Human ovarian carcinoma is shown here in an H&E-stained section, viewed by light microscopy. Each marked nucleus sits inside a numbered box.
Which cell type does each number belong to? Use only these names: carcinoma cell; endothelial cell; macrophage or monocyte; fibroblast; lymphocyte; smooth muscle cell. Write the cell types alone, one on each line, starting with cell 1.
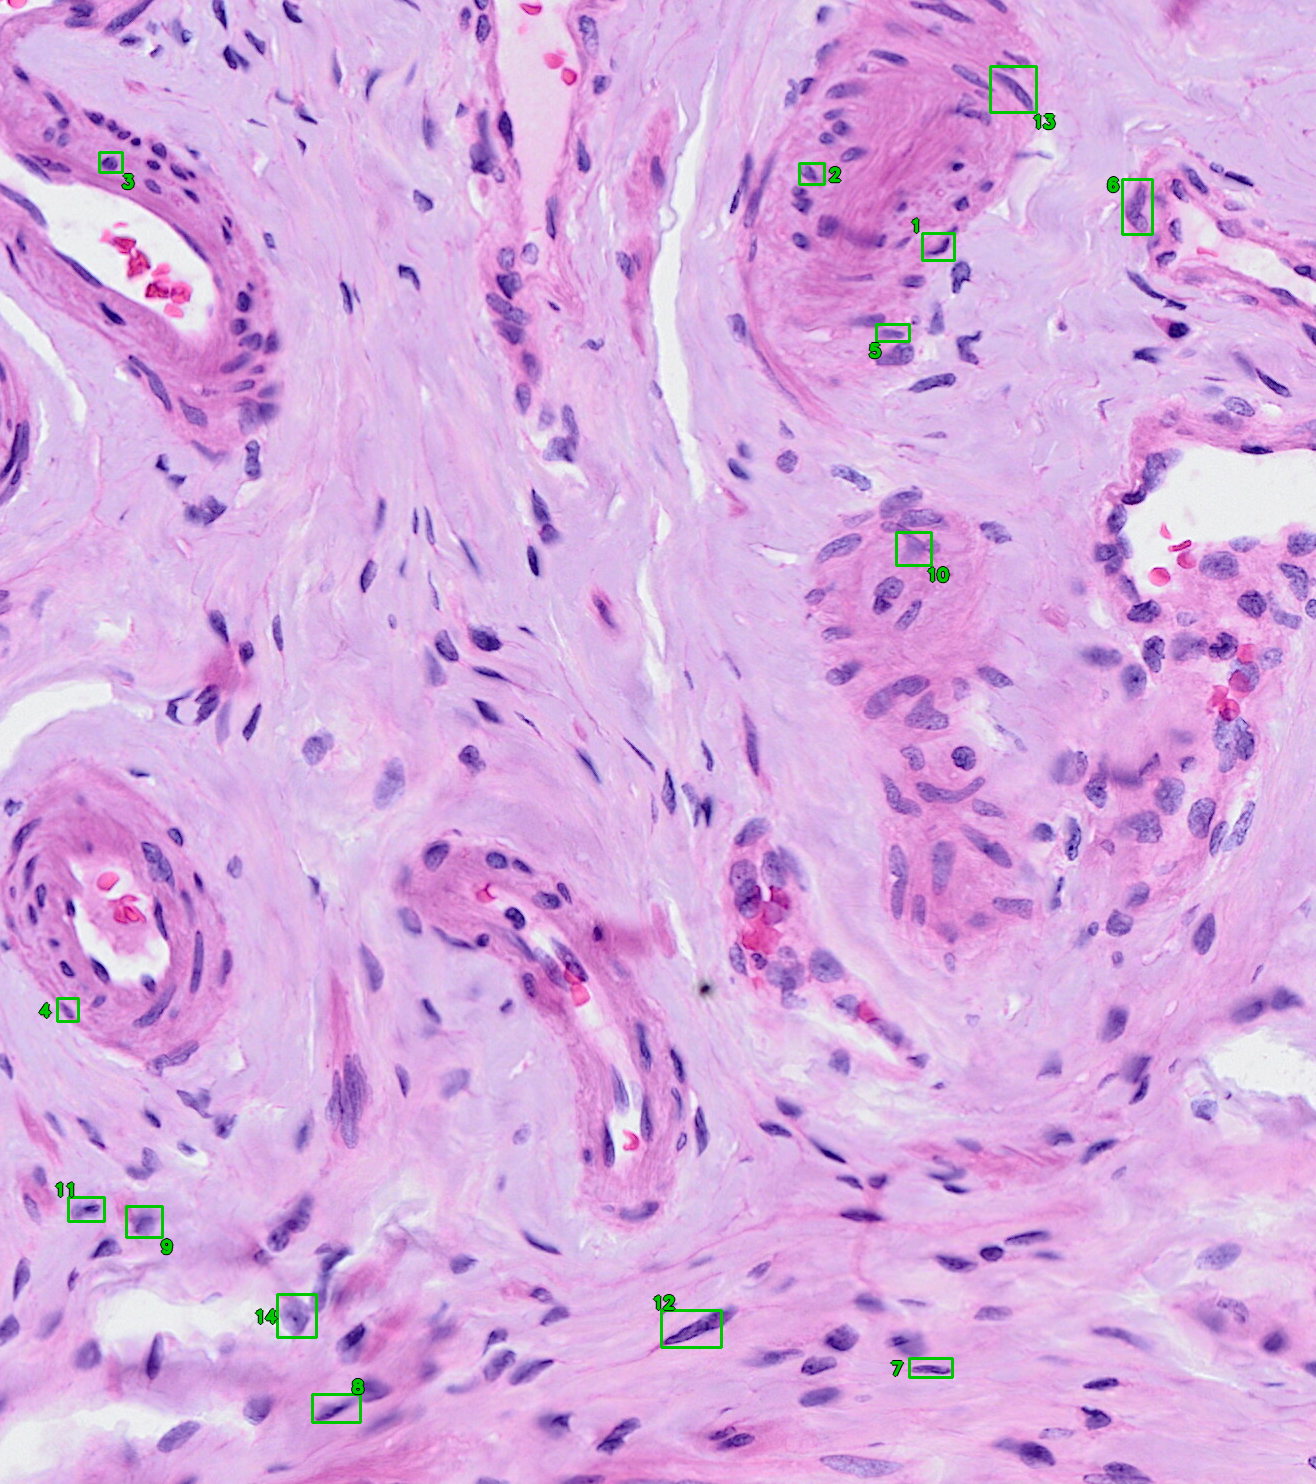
smooth muscle cell
smooth muscle cell
smooth muscle cell
smooth muscle cell
smooth muscle cell
smooth muscle cell
fibroblast
fibroblast
fibroblast
smooth muscle cell
fibroblast
fibroblast
smooth muscle cell
fibroblast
